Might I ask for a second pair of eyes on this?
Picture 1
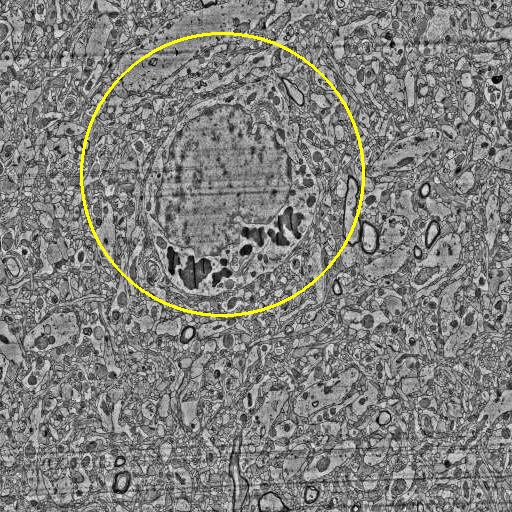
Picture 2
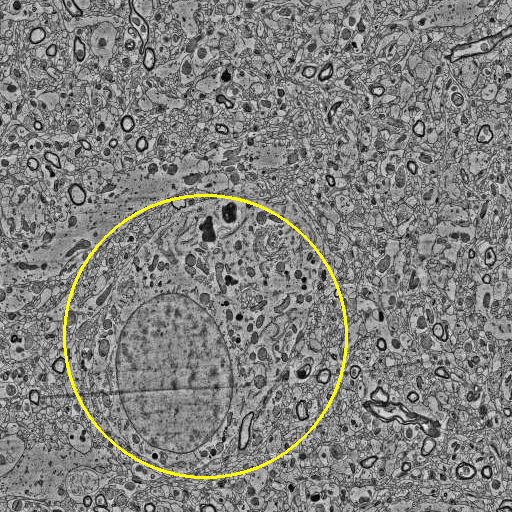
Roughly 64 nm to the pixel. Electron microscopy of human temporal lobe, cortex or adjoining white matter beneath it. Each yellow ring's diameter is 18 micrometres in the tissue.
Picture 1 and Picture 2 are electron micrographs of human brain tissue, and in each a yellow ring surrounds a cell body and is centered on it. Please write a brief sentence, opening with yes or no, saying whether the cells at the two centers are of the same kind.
Yes, the cells are of the same kind.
